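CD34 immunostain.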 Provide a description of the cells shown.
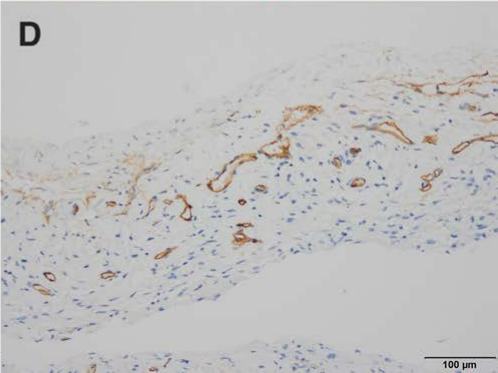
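This is a thin membrane of loose connective tissue with blue, elongated nuclei, crossed by many small vessels whose linings are outlined in brown. The vessels vary from tiny rings to wider, irregular channels, and their walls are only a single thin brown line around an open lumen. They are gathered mainly in the middle and upper part of the band. The surrounding spindle cells between the vessels stay pale.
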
